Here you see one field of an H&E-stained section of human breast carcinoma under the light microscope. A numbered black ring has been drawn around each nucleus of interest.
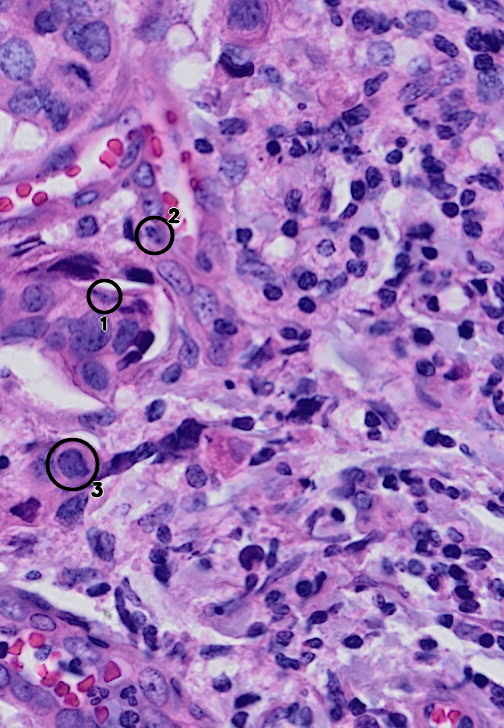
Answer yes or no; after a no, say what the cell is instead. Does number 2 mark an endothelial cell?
Yes.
